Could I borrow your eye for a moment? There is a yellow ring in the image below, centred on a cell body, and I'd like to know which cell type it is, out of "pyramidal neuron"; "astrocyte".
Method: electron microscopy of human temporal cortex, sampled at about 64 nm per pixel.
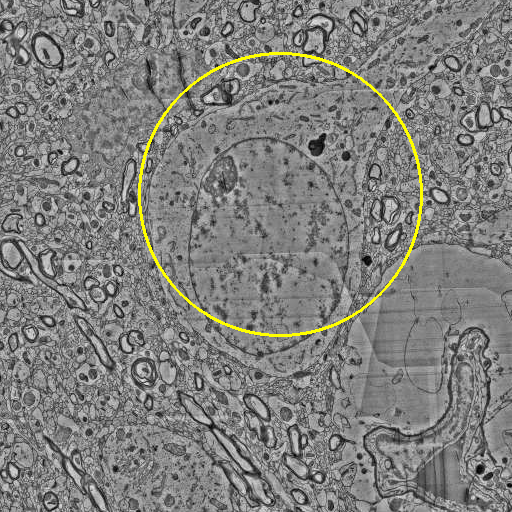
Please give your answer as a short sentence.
The cell body at the centre is that of a pyramidal neuron.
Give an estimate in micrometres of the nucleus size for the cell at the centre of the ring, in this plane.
About 14 by 10 micrometers, in this plane.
